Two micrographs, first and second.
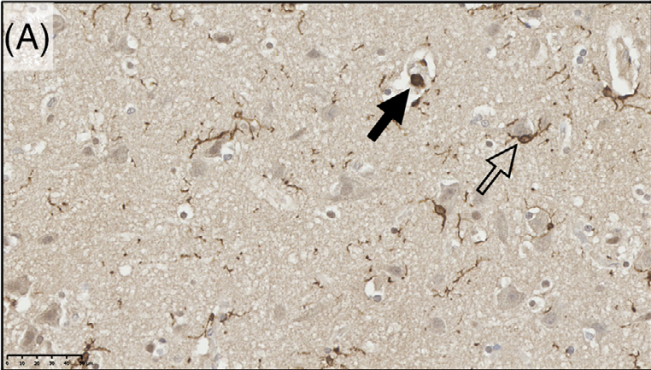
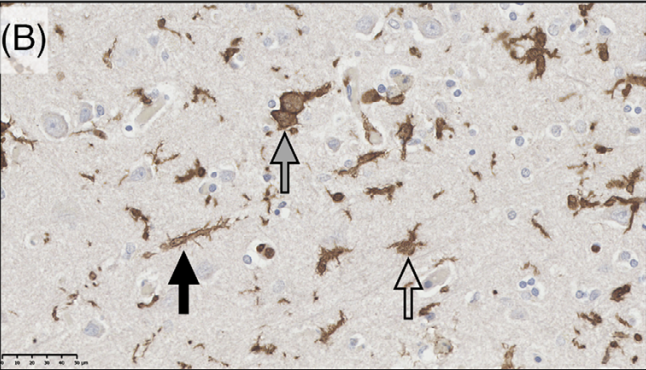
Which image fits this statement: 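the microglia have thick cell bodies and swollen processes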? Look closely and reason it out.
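Second image: brown cells have bulky bodies and short thick processes, some rounded. First image: brown cells have small bodies with thin, fine branching processes. That points to this answer: the second image.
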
